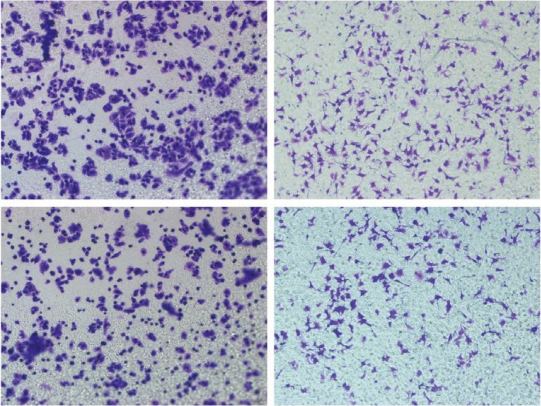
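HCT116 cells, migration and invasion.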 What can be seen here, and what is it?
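Cultured cells stained purple on a pale membrane. In some fields the cells lie in dense clumps and rounded clusters, in others they are spread singly with short irregular processes. The membrane background shows a fine pattern of small pores.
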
